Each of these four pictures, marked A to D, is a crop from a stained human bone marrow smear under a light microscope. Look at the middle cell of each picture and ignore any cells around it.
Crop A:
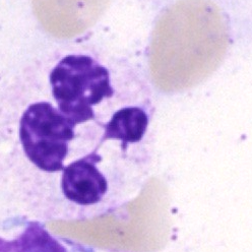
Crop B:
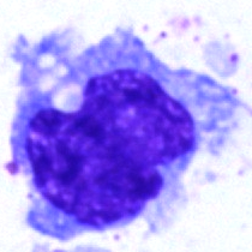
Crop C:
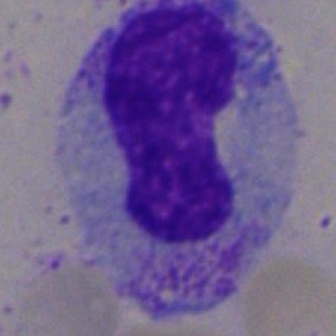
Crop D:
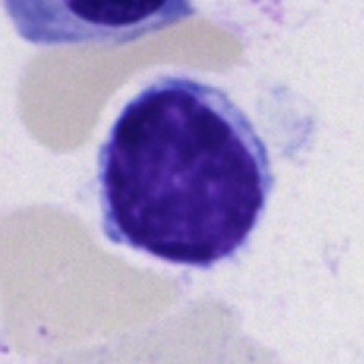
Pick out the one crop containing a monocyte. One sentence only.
The one crop that shows a monocyte is crop B.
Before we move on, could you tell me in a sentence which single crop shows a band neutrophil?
Of the labelled crops, the one that shows a band neutrophil is crop C.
